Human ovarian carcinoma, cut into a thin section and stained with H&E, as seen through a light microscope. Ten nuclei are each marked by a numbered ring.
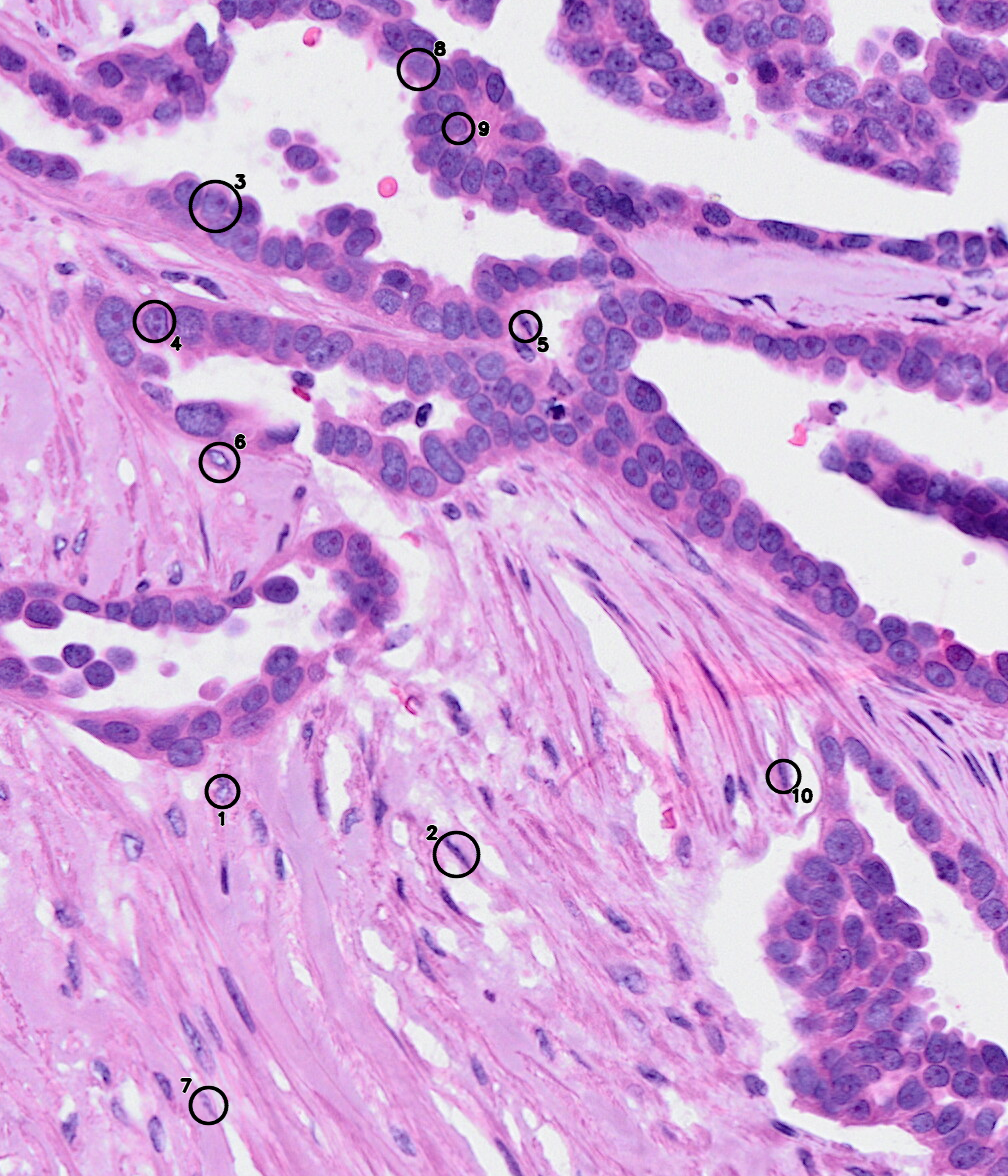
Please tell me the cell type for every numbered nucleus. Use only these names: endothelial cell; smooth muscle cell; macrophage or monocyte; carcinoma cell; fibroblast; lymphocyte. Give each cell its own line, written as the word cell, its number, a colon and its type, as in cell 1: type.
cell 1: fibroblast
cell 2: fibroblast
cell 3: carcinoma cell
cell 4: carcinoma cell
cell 5: fibroblast
cell 6: fibroblast
cell 7: fibroblast
cell 8: carcinoma cell
cell 9: carcinoma cell
cell 10: fibroblast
